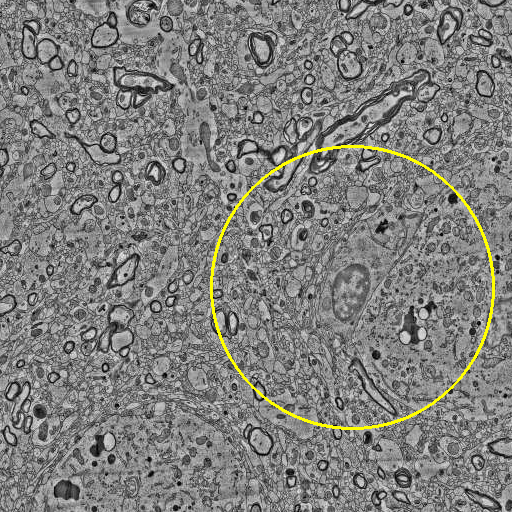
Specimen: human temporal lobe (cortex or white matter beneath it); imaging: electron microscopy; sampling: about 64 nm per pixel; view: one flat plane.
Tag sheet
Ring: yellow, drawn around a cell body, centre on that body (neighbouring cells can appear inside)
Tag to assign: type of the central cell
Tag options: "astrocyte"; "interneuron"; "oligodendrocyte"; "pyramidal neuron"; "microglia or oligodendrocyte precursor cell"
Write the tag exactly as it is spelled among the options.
oligodendrocyte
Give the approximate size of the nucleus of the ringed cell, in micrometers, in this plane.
The ringed cell's nucleus is roughly 4 by 2 micrometres and clearly longer than it is wide in this plane.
